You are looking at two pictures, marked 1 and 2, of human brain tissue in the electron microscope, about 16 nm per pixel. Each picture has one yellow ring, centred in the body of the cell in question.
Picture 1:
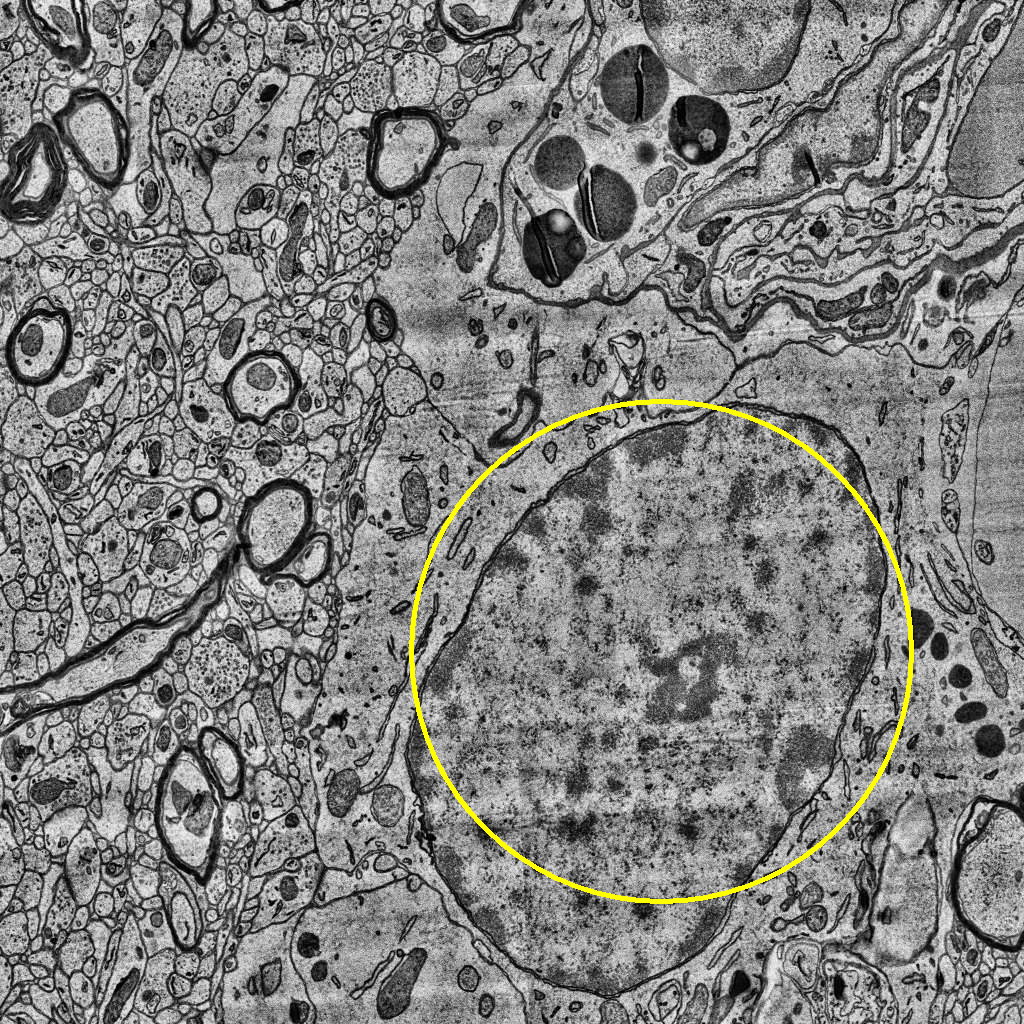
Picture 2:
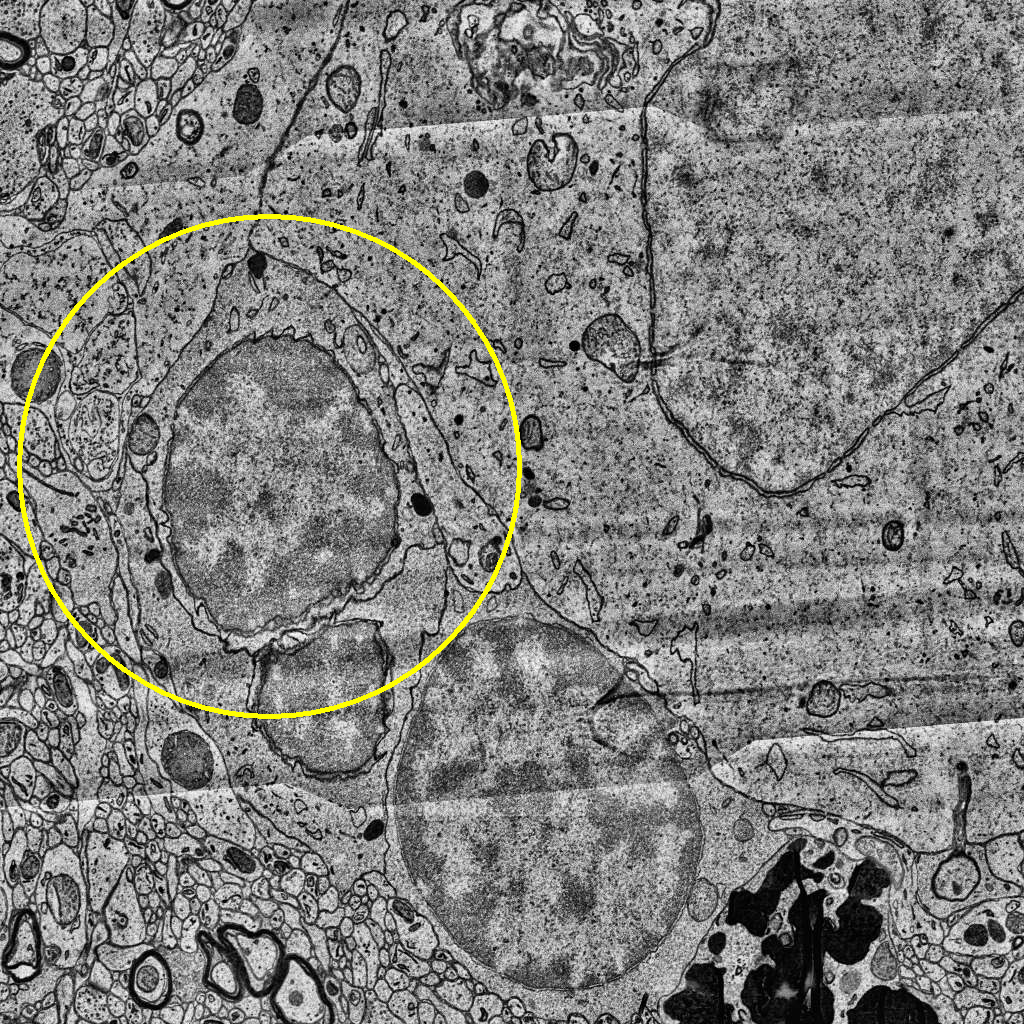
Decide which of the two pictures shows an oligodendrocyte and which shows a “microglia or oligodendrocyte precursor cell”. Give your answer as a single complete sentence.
Picture 2 shows an oligodendrocyte, while picture 1 shows a “microglia or oligodendrocyte precursor cell”.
